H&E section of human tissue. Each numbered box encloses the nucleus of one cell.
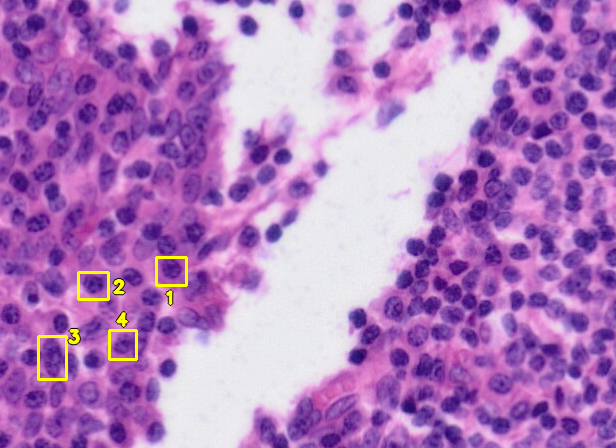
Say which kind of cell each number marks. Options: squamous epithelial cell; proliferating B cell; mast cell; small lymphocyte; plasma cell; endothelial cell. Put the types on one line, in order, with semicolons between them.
plasma cell; plasma cell; squamous epithelial cell; plasma cell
